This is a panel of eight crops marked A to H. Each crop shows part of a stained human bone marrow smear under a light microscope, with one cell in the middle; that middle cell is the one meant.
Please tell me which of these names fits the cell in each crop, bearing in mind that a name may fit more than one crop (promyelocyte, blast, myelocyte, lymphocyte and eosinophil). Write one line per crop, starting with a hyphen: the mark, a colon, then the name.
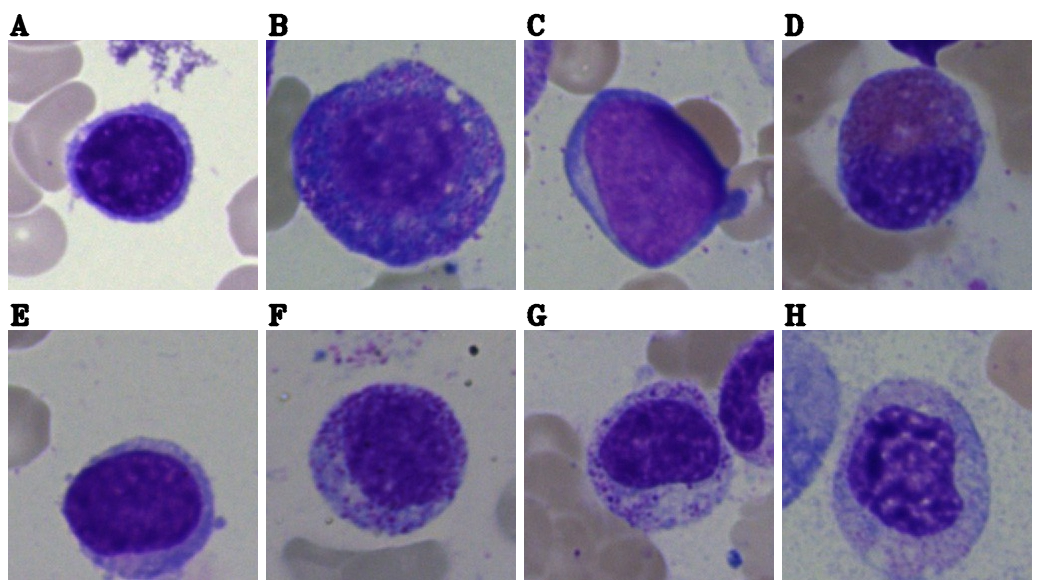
- A: lymphocyte
- B: promyelocyte
- C: blast
- D: eosinophil
- E: lymphocyte
- F: myelocyte
- G: myelocyte
- H: myelocyte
